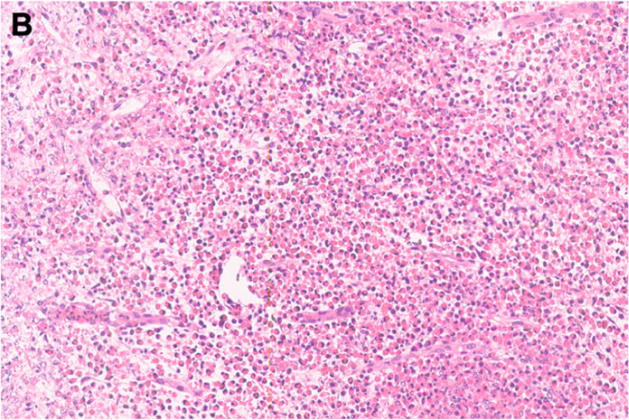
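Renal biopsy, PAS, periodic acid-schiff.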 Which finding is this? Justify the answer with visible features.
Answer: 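Dense sheets of cells with pink cytoplasm fill the tissue. Only a few small vessels and scattered structures remain between them. The answer: eosinophil infiltration.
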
